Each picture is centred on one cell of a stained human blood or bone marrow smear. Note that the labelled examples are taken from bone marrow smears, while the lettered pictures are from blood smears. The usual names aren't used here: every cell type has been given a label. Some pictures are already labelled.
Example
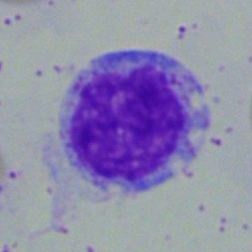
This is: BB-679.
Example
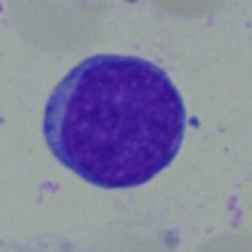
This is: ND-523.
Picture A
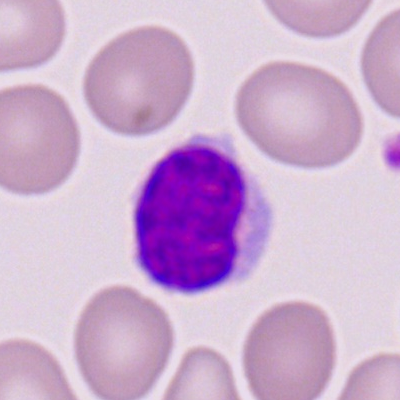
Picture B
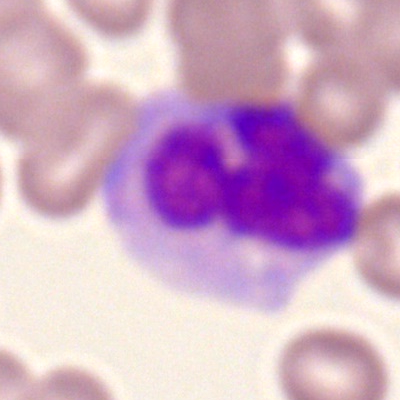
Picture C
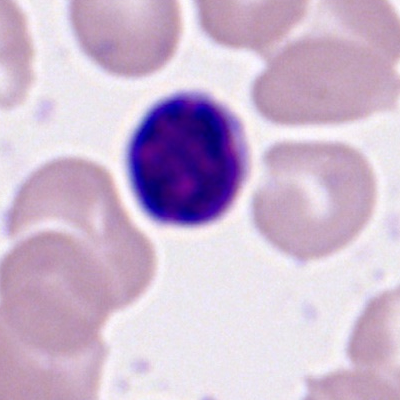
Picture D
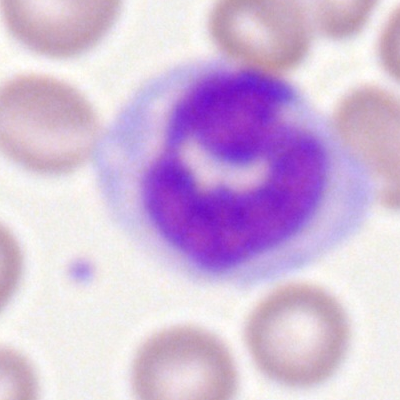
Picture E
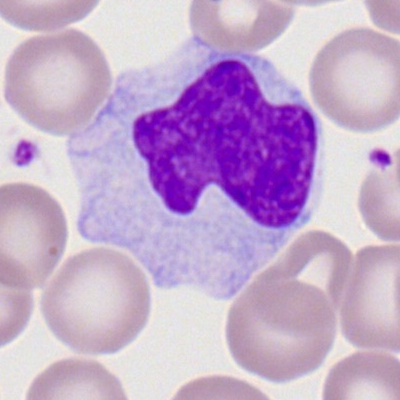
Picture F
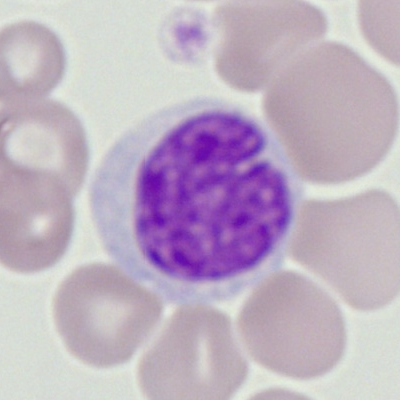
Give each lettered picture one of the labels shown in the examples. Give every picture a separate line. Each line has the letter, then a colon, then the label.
A: ND-523.
B: BB-679.
C: ND-523.
D: BB-679.
E: BB-679.
F: BB-679.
